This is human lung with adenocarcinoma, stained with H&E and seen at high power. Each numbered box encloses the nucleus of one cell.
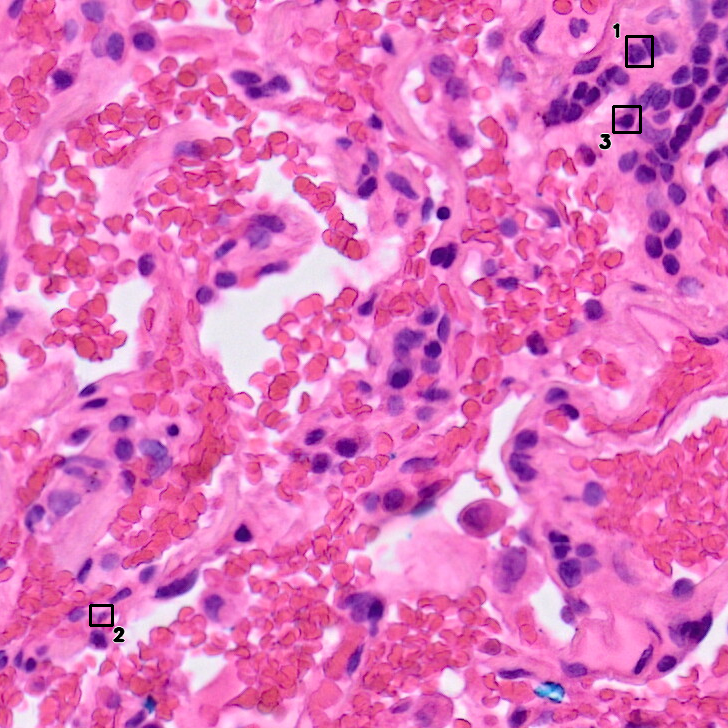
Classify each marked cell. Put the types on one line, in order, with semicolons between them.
lymphocyte; endothelial cell; lymphocyte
